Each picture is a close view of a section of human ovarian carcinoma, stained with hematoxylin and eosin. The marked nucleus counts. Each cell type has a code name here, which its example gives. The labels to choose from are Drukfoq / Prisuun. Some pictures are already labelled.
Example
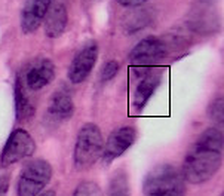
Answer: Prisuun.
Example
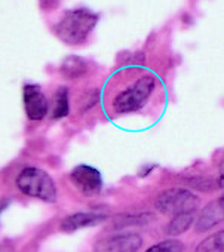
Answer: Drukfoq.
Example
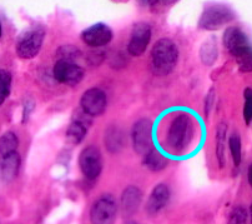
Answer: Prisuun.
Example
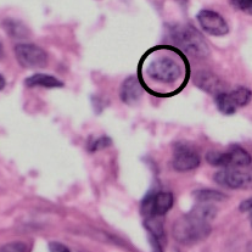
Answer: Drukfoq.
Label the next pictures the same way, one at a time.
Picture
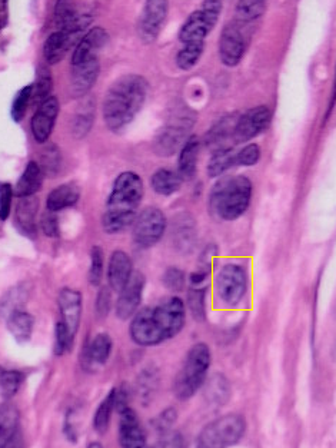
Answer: Drukfoq.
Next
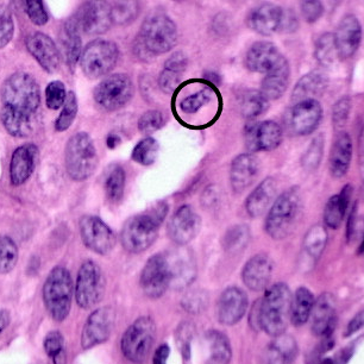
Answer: Drukfoq.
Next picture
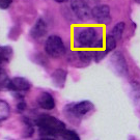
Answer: Prisuun.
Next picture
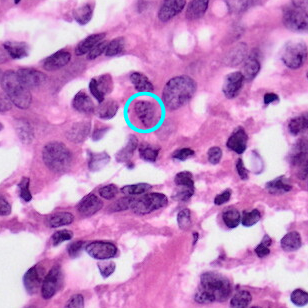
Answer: Prisuun.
